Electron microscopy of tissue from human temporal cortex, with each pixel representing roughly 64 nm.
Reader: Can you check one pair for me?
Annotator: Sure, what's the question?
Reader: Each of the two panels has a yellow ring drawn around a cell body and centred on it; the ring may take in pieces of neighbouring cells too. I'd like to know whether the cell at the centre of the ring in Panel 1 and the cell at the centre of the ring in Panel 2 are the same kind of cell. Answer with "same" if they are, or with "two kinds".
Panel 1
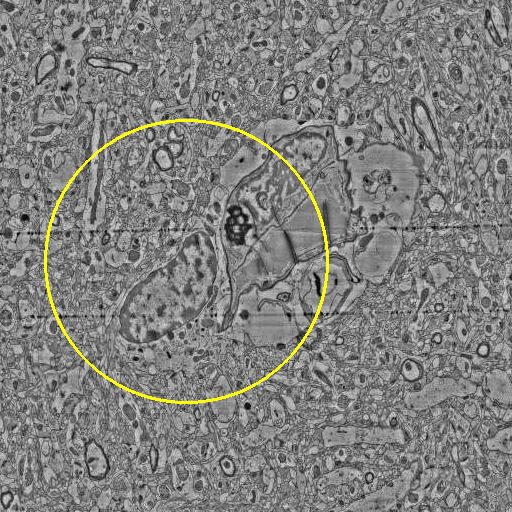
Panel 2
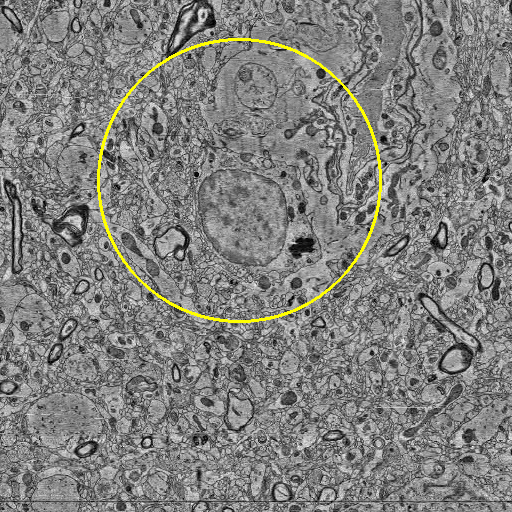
two kinds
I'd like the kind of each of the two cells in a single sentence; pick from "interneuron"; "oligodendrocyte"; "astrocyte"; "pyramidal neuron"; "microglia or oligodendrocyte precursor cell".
The first ring marks a microglial cell or oligodendrocyte precursor cell, and the second ring marks an oligodendrocyte.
